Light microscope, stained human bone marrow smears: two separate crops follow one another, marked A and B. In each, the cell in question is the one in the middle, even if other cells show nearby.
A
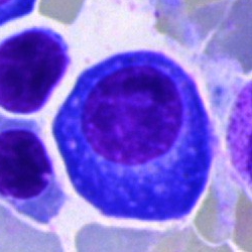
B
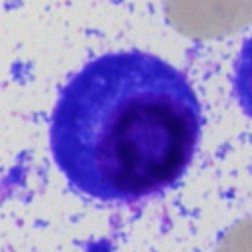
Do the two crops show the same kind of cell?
yes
